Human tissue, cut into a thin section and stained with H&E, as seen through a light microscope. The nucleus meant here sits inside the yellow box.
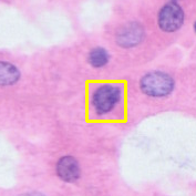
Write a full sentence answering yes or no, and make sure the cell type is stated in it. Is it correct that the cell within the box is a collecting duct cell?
No, the cell within the box is typed as a proximal tubule cell rather than as a collecting duct cell.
